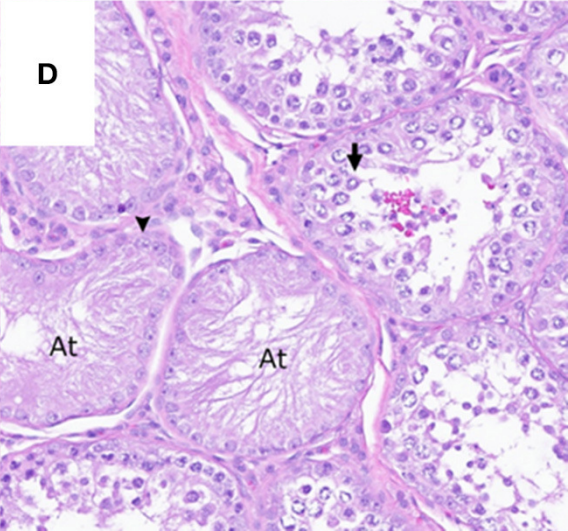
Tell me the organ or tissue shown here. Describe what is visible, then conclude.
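Testis. Closely packed round tubules separated by thin interstitial tissue. Several tubules contain many layered round germ-like cells.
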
